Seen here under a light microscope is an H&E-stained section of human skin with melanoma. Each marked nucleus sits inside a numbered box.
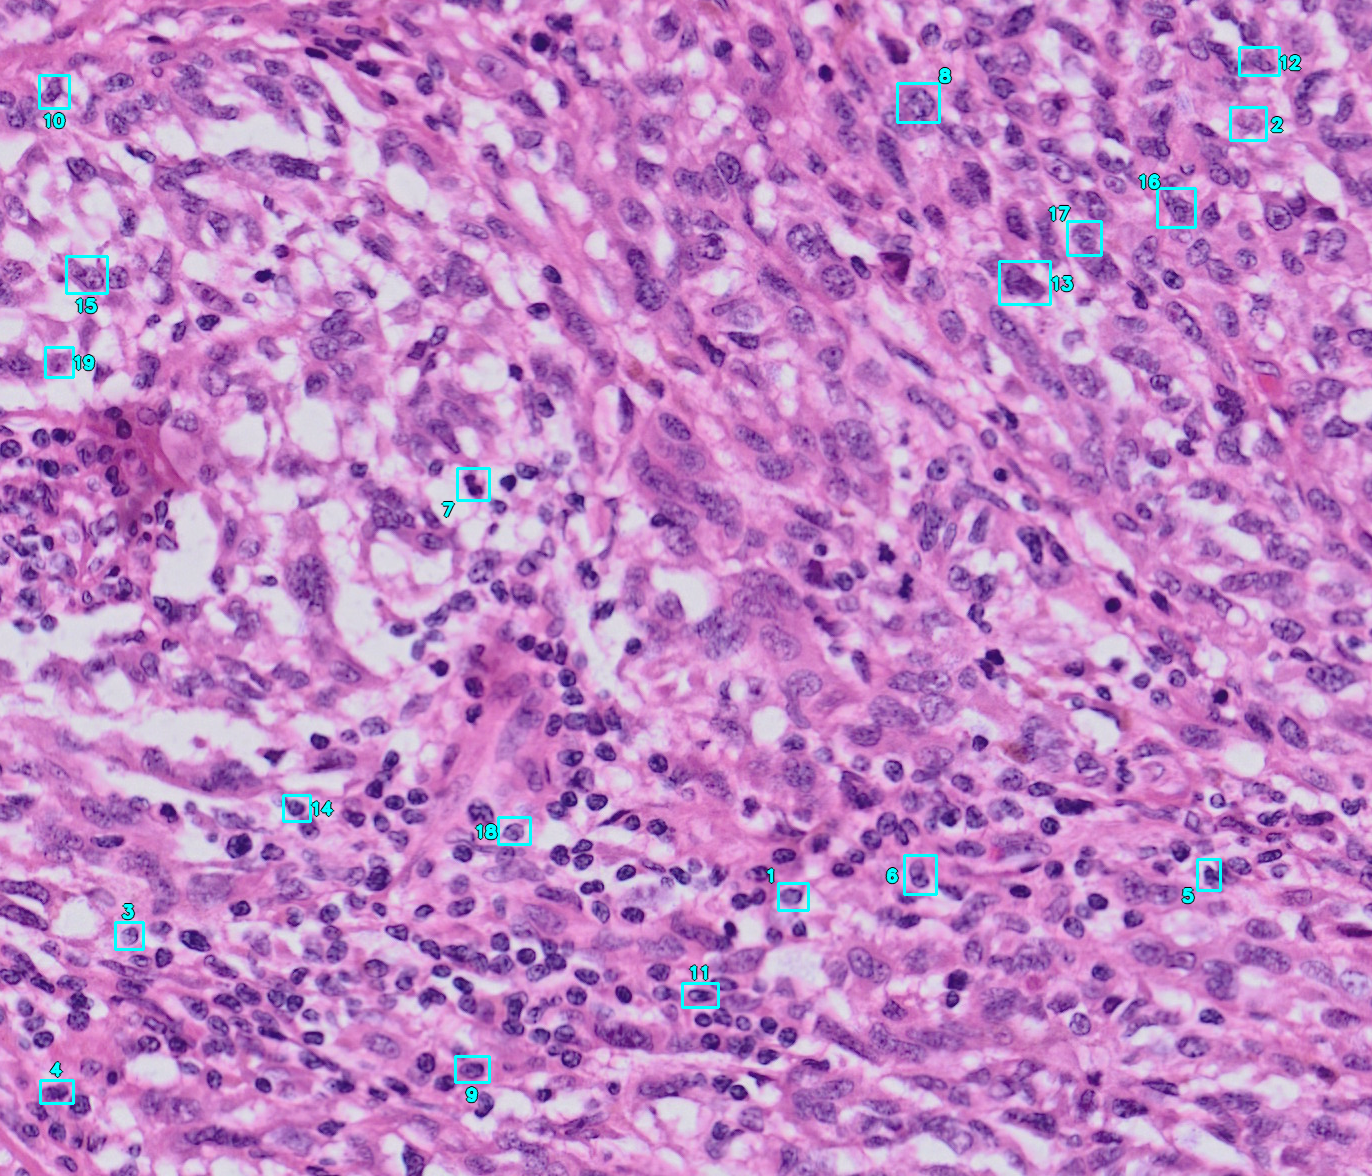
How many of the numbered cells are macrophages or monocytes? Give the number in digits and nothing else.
0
